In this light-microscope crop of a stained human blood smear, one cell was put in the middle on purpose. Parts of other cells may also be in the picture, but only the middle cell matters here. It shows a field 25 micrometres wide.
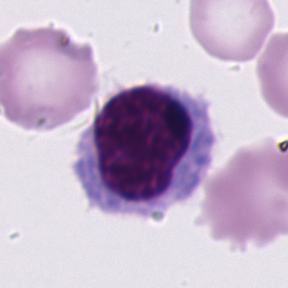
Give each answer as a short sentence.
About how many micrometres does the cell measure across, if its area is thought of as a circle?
It measures about 12 micrometres across.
